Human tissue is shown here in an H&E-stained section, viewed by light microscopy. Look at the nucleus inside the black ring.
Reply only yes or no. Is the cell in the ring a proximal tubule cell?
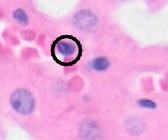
no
